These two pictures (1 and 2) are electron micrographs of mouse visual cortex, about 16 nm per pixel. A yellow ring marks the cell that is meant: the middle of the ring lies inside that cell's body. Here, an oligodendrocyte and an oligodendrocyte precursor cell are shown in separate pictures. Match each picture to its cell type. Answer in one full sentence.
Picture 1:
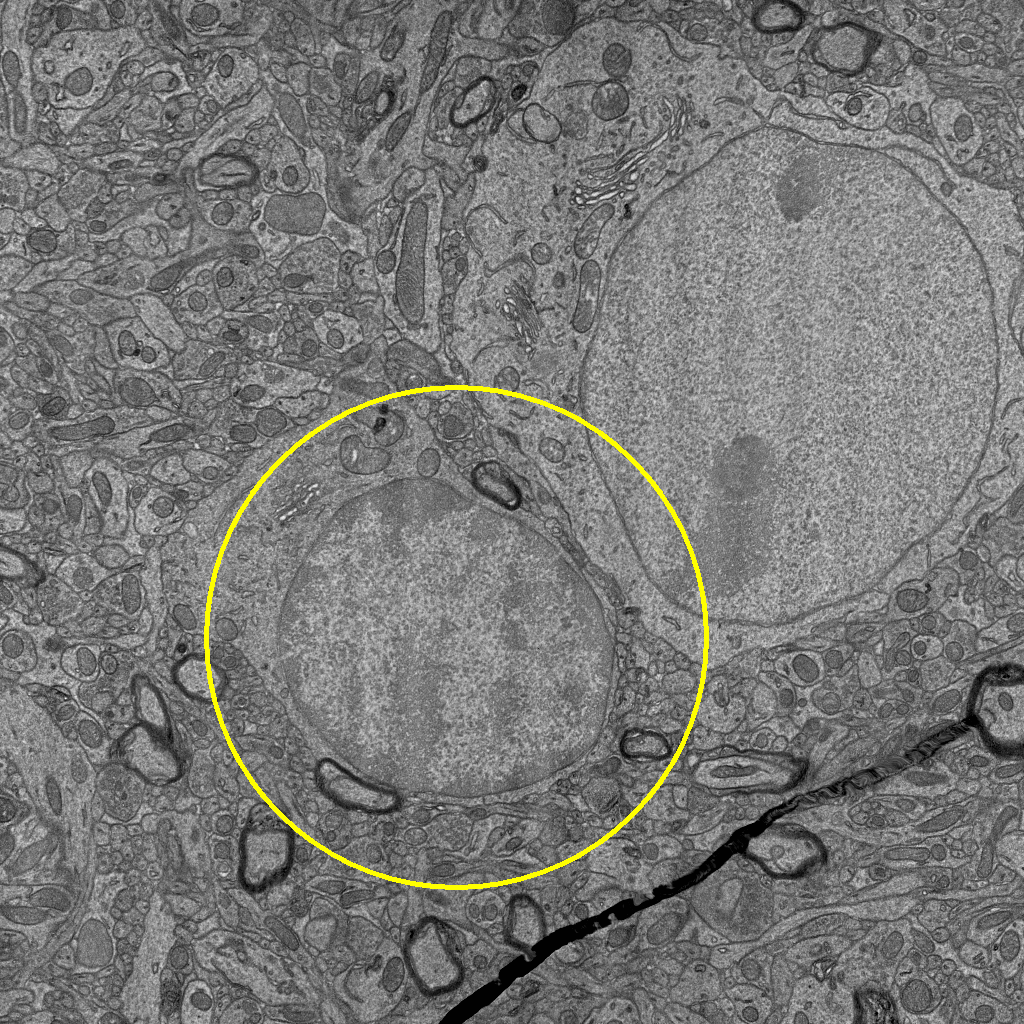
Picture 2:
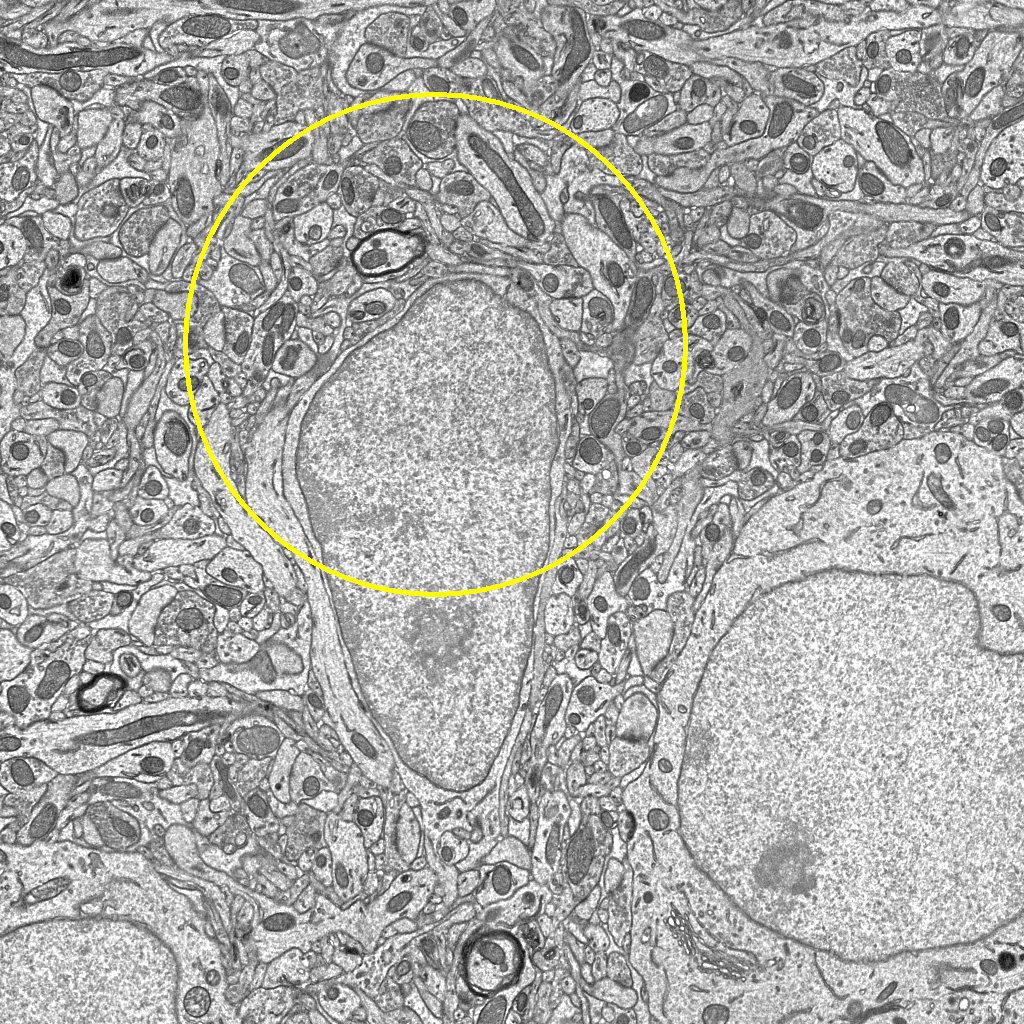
The cell in picture 1 is an oligodendrocyte, and the one in picture 2 is an oligodendrocyte precursor cell.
